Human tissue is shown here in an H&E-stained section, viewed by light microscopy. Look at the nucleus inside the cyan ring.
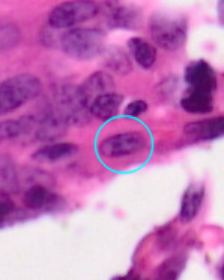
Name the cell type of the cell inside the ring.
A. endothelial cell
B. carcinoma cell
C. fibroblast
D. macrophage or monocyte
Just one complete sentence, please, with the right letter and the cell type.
The correct option here, A, identifies the cell inside the ring as an endothelial cell.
